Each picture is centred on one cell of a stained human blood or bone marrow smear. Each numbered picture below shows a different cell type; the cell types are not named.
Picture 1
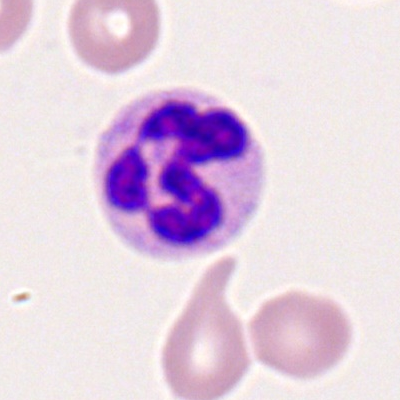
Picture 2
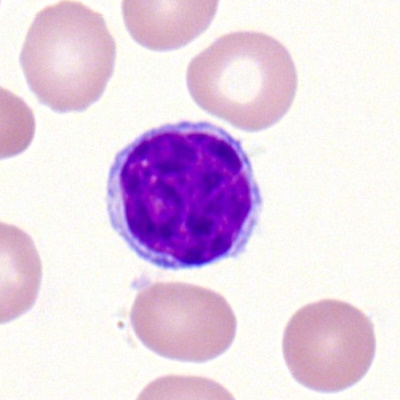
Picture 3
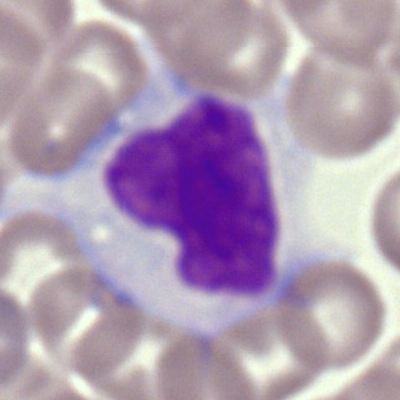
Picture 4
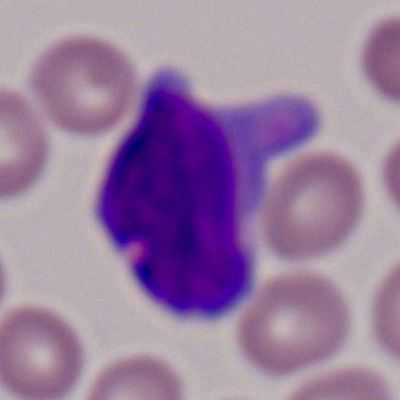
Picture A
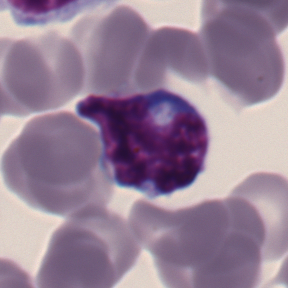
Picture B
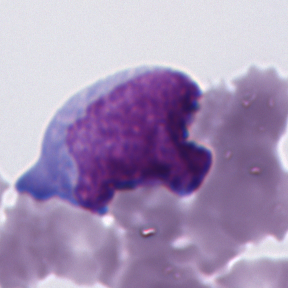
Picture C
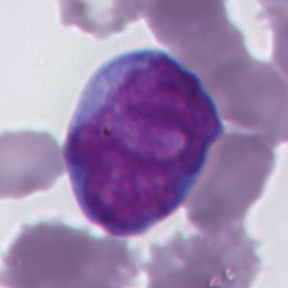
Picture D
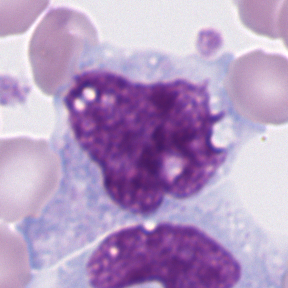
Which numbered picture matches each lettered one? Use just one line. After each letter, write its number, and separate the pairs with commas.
A 2, B 4, C 4, D 3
